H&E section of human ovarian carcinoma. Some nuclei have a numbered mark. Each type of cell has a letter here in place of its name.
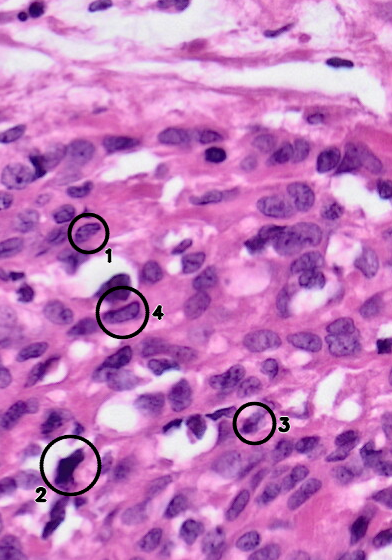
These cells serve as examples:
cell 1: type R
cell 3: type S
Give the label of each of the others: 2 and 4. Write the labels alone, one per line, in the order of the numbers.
type S
type S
